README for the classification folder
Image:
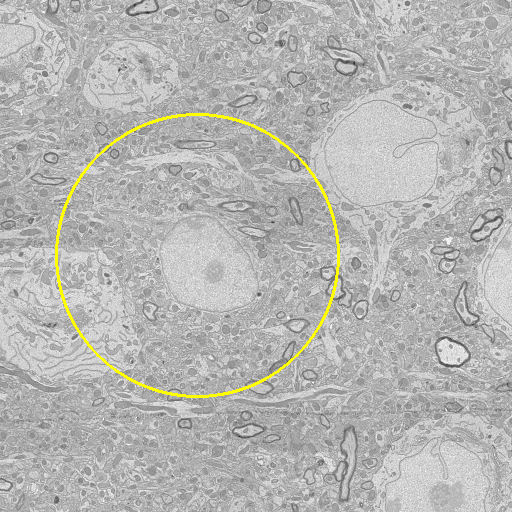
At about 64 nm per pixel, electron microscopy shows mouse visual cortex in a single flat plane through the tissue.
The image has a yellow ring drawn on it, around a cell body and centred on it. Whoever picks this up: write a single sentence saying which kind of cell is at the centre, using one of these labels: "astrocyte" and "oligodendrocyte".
This cell body is that of an astrocyte.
